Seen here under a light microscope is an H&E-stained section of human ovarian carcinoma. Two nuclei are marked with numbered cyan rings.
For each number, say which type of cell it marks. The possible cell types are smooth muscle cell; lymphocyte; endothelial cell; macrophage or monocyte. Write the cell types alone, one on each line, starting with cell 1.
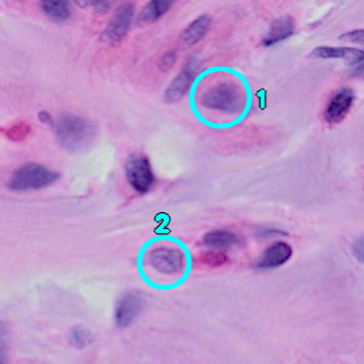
smooth muscle cell
endothelial cell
